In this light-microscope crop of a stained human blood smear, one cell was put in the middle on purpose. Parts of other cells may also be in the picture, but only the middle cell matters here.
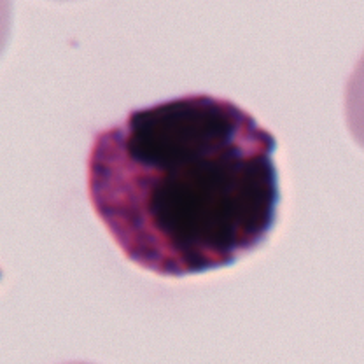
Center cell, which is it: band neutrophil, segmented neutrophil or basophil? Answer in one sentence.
The centrally positioned cell in the crop represents a basophil.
